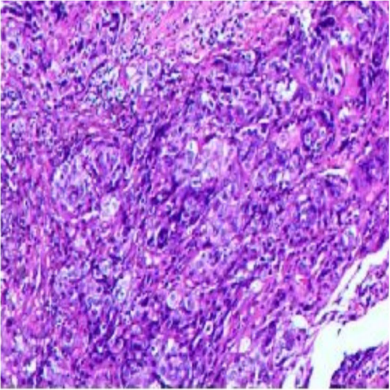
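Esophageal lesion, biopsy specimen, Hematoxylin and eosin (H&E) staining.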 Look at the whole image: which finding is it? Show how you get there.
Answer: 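Poorly differentiated squamous cell carcinoma. Crowded nests and sheets of large atypical cells fill the field. Nuclei are enlarged, dark and irregular in shape and size. No well-formed keratin pearls are evident.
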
